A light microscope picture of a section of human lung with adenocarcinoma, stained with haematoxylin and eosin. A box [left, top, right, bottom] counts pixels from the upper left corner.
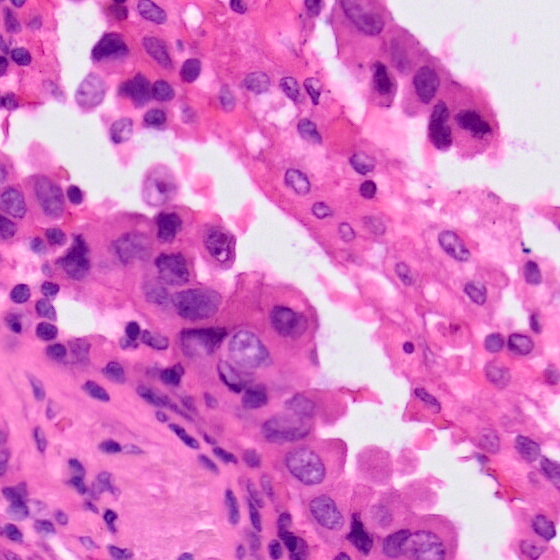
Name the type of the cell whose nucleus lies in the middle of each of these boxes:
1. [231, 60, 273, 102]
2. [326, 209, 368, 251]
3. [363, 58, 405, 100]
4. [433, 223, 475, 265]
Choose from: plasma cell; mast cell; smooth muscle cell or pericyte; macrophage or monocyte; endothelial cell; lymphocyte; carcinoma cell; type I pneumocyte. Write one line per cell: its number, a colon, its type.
1: macrophage or monocyte
2: macrophage or monocyte
3: carcinoma cell
4: macrophage or monocyte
